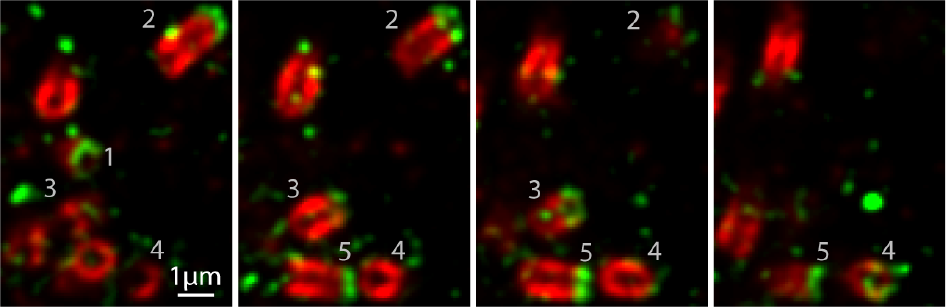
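Seen end-on they appear as hollow rings, seen side-on as short cylinders, and the same centrioles can be followed from plane to plane. Green dots cap one end of several of these barrels, while other small green dots lie scattered between them.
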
